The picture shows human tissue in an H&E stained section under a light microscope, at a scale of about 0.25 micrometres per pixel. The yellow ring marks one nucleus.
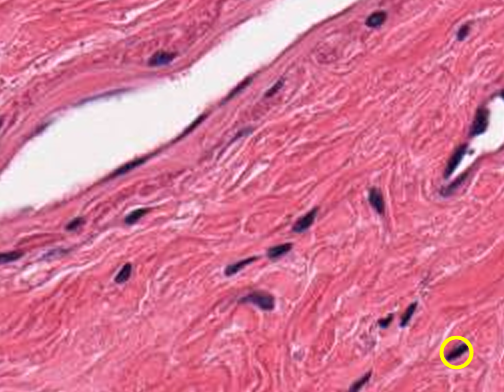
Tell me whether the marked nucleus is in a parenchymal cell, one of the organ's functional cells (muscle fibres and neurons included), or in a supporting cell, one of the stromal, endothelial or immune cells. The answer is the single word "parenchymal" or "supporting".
supporting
